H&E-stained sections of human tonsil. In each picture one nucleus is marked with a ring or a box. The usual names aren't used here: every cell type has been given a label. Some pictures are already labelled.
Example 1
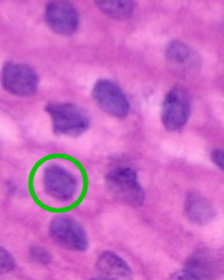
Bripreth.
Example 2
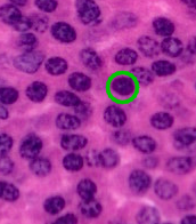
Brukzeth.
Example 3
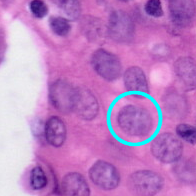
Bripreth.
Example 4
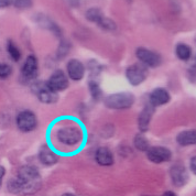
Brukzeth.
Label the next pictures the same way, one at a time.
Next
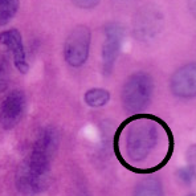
Bripreth.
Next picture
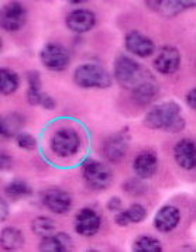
Brukzeth.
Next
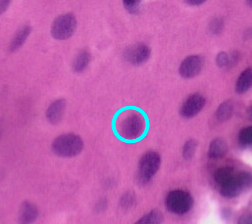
Bripreth.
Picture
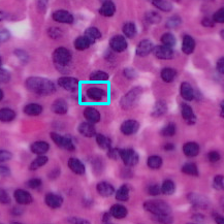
Brukzeth.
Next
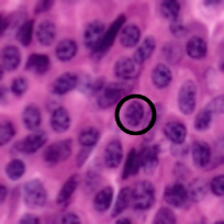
Brukzeth.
